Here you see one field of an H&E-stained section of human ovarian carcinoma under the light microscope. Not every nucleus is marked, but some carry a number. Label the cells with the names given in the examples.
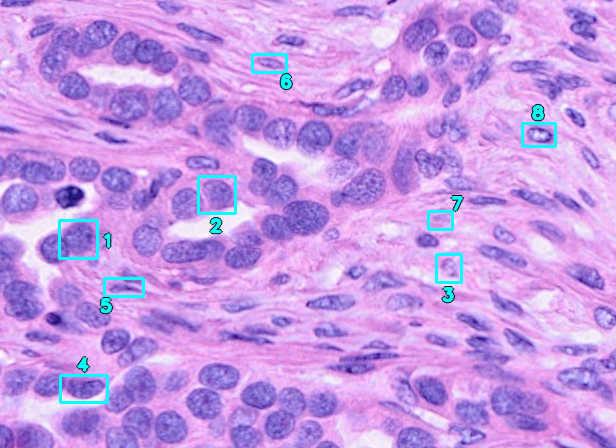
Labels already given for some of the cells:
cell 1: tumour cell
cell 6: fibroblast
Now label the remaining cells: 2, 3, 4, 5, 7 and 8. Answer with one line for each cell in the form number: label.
2: tumour cell
3: fibroblast
4: tumour cell
5: fibroblast
7: fibroblast
8: fibroblast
